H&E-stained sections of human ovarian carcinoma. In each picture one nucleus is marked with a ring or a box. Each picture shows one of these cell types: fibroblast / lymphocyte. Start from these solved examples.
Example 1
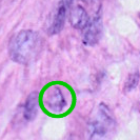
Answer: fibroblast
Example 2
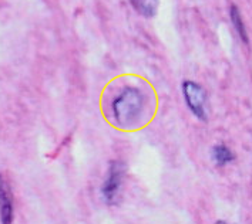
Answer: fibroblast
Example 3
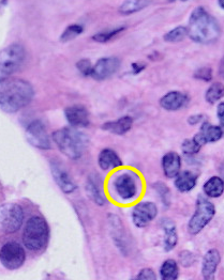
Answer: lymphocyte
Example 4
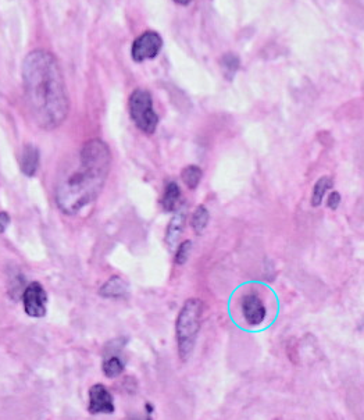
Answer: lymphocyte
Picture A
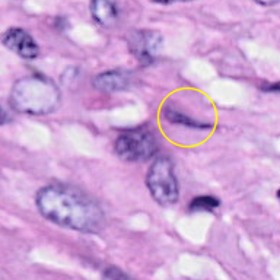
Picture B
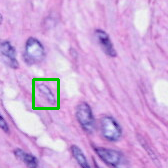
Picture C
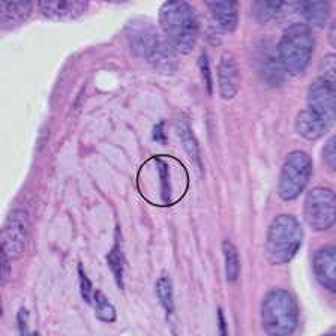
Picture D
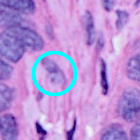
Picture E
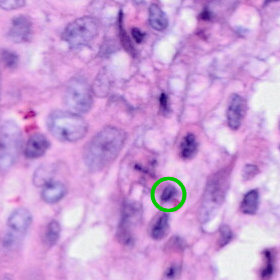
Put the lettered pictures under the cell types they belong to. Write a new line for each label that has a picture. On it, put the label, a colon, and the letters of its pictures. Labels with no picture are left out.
fibroblast: A, B, C, D
lymphocyte: E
